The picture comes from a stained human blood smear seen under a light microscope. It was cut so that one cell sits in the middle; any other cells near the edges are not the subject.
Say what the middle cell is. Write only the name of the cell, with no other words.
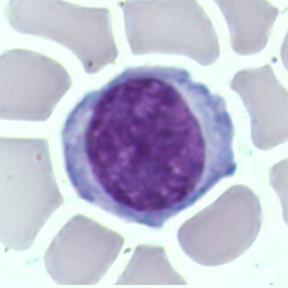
plasma cell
